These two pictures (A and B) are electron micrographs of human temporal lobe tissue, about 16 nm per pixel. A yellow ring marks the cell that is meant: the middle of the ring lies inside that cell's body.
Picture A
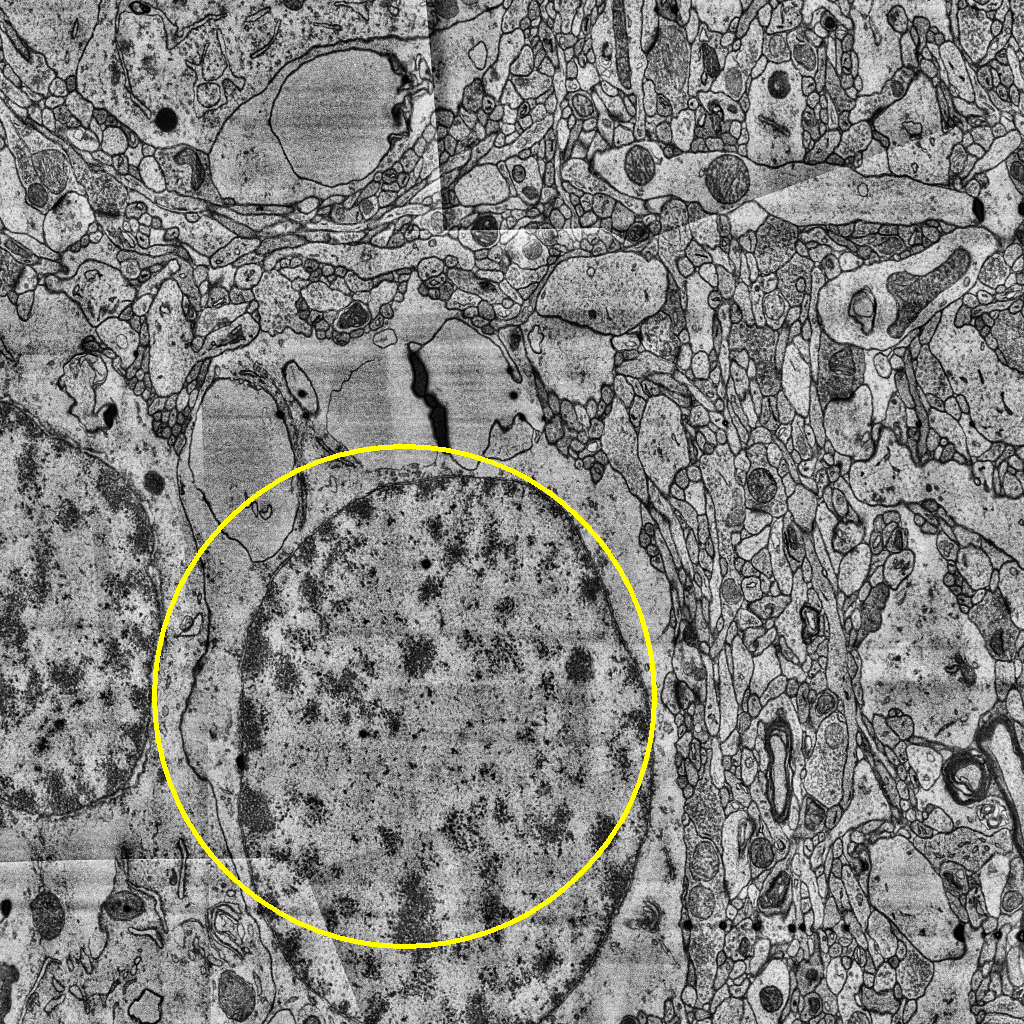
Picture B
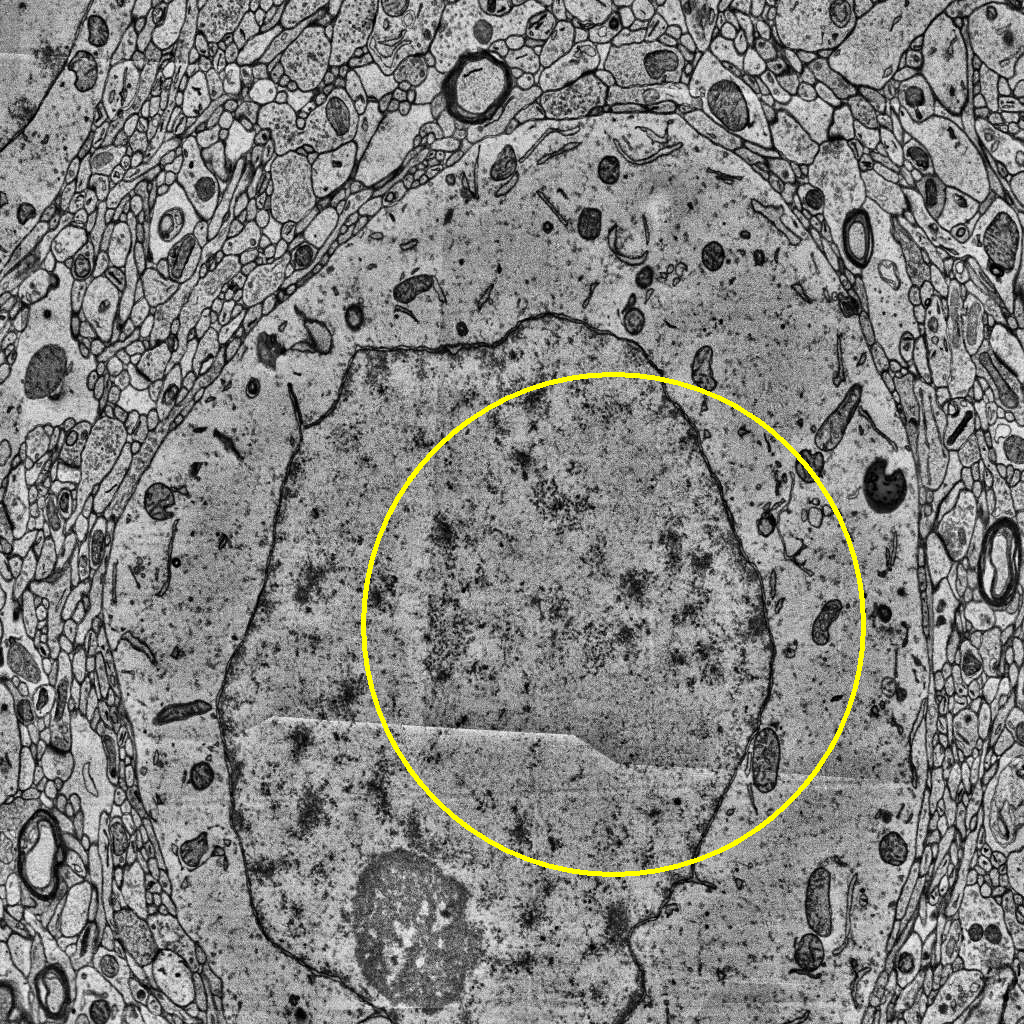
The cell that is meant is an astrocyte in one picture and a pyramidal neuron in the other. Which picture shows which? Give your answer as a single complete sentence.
Picture A shows an astrocyte and picture B shows a pyramidal neuron.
